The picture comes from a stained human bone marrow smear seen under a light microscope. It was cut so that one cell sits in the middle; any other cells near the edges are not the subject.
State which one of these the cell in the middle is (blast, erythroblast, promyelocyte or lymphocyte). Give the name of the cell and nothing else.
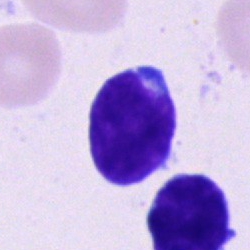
lymphocyte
